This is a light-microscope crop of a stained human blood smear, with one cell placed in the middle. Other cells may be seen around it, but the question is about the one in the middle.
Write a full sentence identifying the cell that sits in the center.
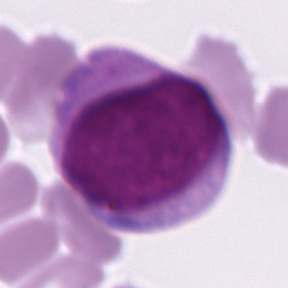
By classification, the middle cell of this crop is a myeloblast.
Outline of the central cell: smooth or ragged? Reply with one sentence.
The edge of the cell is unbroken and smooth, bearing no projections.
